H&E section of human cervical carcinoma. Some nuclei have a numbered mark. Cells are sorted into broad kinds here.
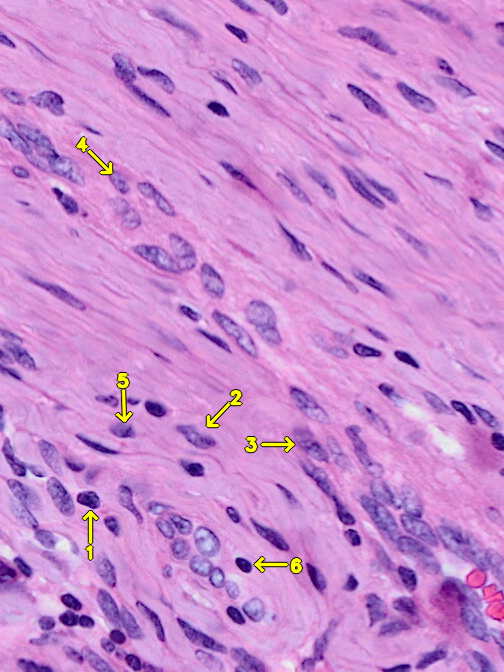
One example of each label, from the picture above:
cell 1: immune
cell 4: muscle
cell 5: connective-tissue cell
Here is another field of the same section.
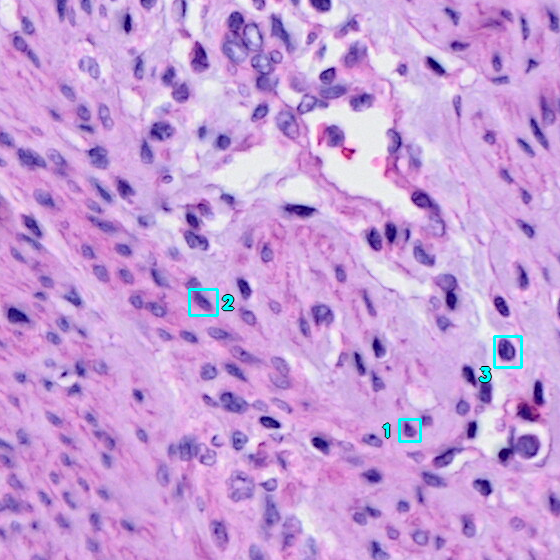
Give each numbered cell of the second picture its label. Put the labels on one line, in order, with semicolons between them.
connective-tissue cell; muscle; immune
